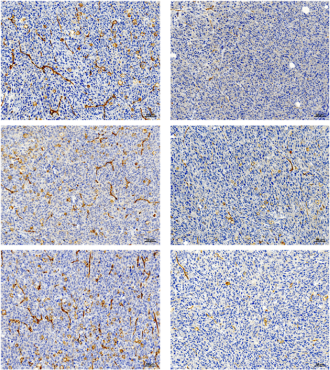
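Sections of tumour tissue made of densely packed cells with small blue-counterstained nuclei, crossed by thin brown-stained strands of endothelial cells that line small, branching vessels. In the left-hand column these brown, tube-like vessel profiles are numerous and long. In the right-hand column they are sparse, short and scattered.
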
